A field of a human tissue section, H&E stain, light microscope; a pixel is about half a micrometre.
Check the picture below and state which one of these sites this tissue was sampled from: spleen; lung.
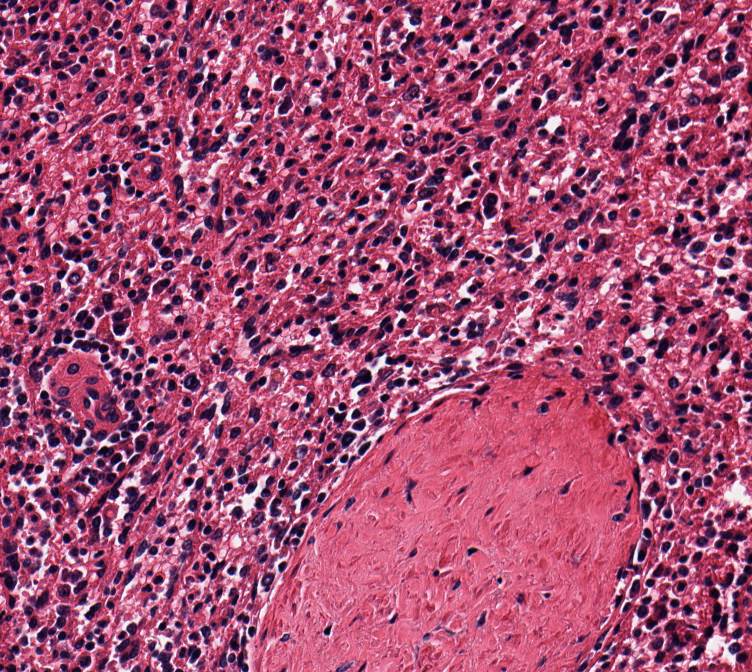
spleen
